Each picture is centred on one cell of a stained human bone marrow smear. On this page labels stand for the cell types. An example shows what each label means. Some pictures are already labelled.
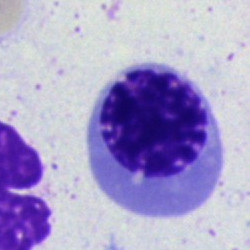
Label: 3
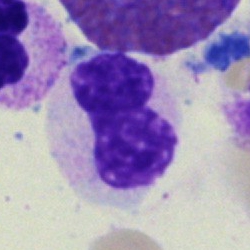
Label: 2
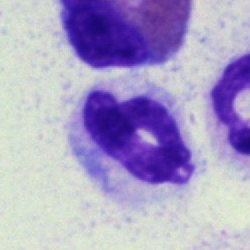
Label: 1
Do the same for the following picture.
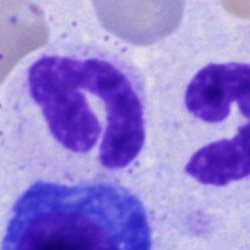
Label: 2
